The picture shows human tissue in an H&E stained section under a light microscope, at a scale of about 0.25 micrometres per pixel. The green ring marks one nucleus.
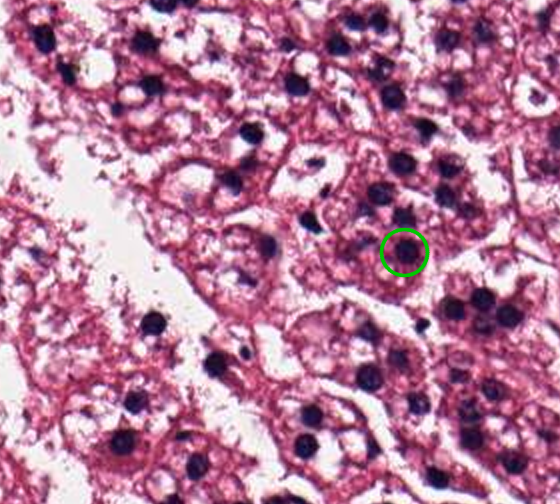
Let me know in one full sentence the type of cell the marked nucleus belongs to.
It is an adrenal cortical cell that the marked nucleus belongs to.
